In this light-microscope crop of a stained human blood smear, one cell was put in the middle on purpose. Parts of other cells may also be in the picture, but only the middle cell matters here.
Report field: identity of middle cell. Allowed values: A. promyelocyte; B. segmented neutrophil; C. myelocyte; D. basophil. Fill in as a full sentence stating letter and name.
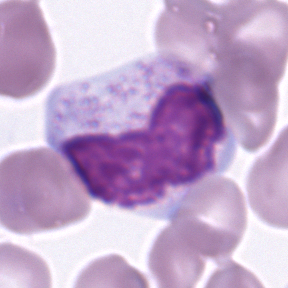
The cell positioned centrally is a myelocyte, as given in option C, which is correct.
